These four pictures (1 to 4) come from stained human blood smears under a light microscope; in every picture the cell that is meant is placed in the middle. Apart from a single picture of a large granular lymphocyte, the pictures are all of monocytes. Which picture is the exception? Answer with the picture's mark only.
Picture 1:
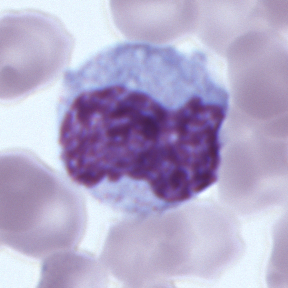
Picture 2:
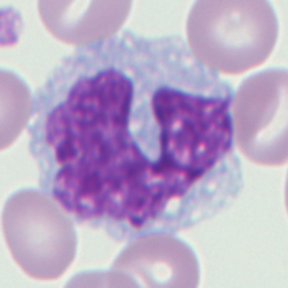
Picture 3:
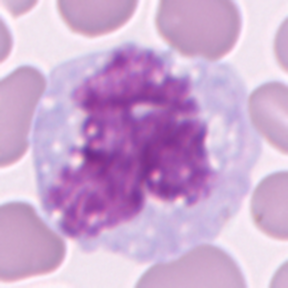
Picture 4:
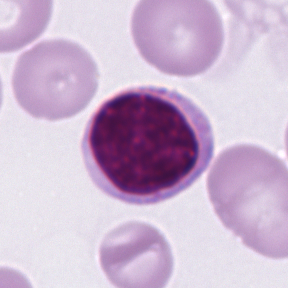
4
